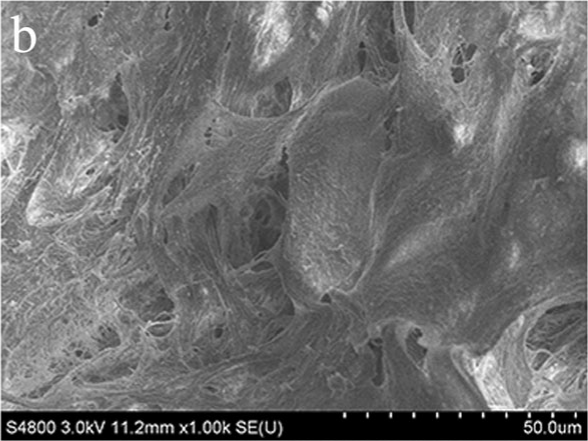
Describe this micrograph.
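The surface is mostly hidden under broad, flattened cell bodies that spread and merge into a sheet-like layer. Between and beneath them, a fine fibrous meshwork shows through in gaps and holes. Thin strands and extensions run from the cell edges onto the fibres beneath. This looks like a membrane of fibres almost completely covered by spreading cells.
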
